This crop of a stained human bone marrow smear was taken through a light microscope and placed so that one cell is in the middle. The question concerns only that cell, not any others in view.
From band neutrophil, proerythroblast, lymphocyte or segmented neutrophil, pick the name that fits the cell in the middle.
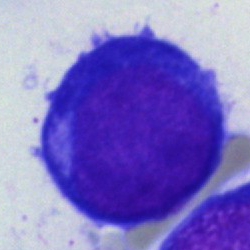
proerythroblast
